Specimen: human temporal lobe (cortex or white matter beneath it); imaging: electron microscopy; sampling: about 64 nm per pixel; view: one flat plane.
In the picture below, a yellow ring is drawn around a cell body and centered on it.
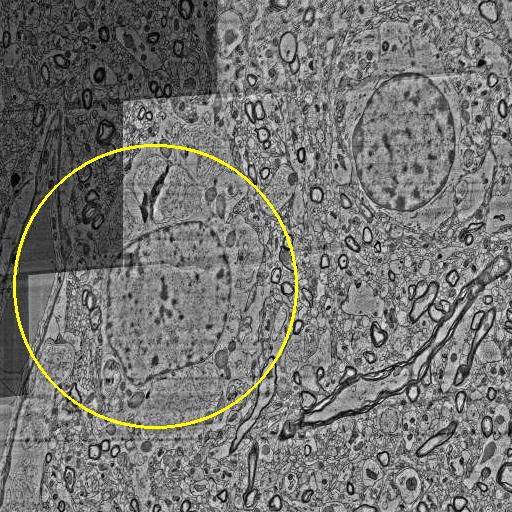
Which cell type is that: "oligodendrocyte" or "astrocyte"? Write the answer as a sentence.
The cell centered in the ring is an astrocyte.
